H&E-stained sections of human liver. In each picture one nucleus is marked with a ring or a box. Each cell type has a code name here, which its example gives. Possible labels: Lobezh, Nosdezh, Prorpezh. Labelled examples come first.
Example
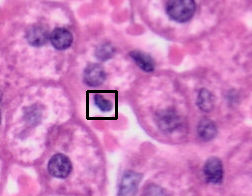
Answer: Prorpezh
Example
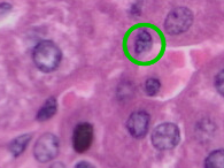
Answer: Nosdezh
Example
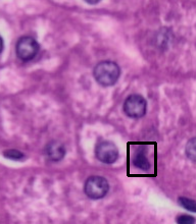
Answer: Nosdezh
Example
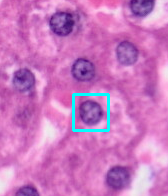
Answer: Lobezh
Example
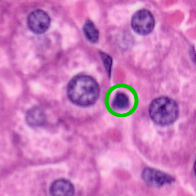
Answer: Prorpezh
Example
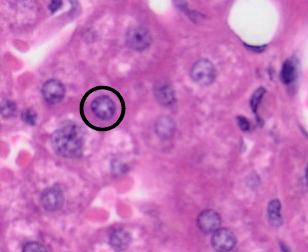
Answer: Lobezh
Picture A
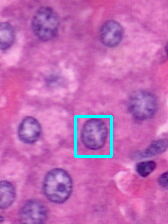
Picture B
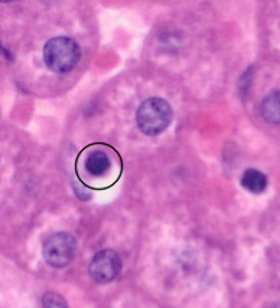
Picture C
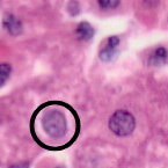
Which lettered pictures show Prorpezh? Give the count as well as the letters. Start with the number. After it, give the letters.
1: B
